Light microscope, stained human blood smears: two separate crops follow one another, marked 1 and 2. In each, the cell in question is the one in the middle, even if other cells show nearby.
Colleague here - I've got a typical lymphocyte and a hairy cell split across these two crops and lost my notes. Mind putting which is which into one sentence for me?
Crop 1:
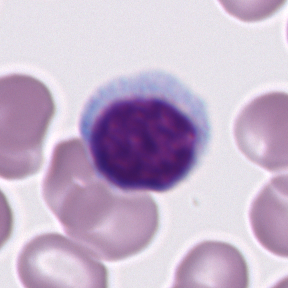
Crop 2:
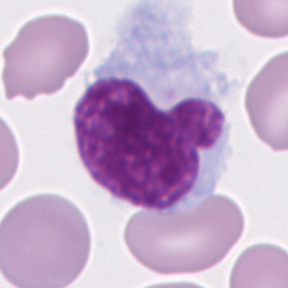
Crop 1 is a typical lymphocyte, and crop 2 is a hairy cell.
